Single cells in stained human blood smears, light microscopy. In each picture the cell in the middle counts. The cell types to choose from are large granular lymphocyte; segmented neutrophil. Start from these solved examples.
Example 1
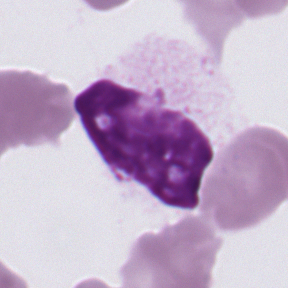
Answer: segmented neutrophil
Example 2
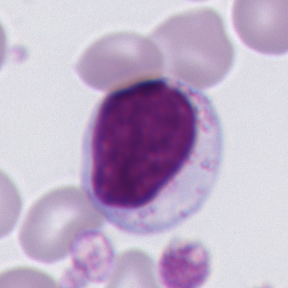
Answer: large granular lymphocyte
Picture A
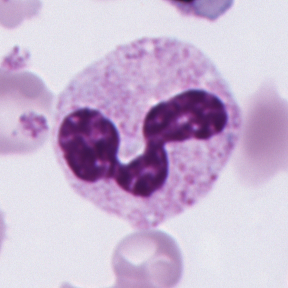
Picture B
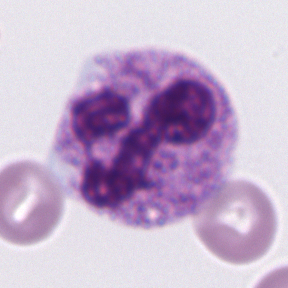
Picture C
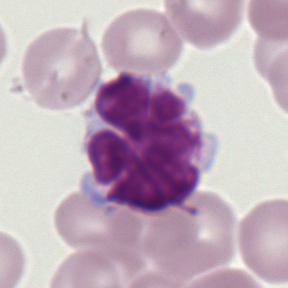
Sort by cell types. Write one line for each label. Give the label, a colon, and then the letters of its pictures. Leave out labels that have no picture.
large granular lymphocyte: C
segmented neutrophil: A, B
